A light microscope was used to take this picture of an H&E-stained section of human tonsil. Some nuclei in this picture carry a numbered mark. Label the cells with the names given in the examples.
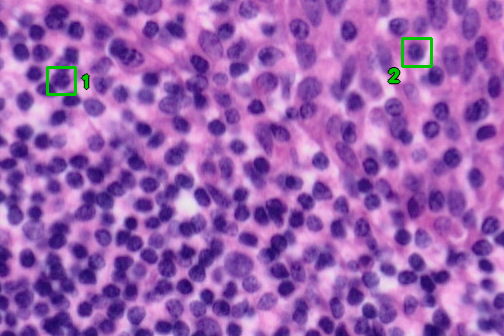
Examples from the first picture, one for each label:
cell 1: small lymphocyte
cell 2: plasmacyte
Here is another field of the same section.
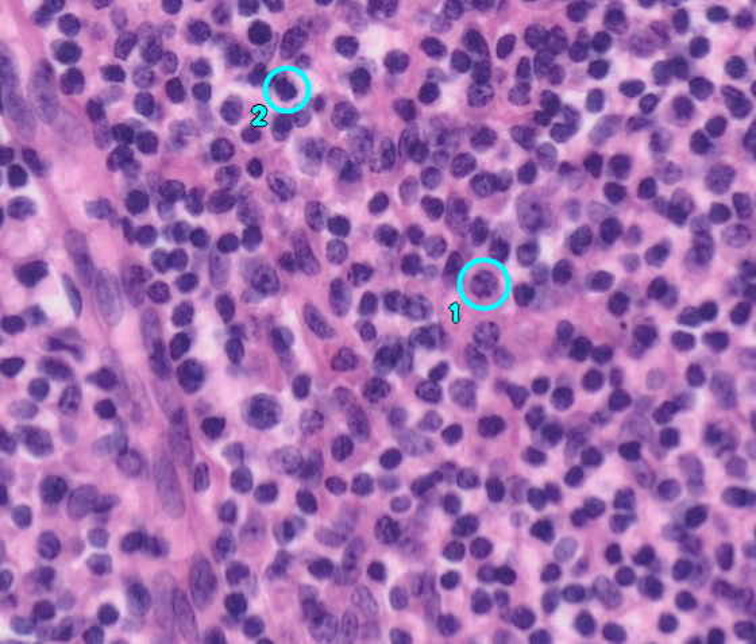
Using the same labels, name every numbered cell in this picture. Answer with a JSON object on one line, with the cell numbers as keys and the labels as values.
{"1": "plasmacyte", "2": "small lymphocyte"}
